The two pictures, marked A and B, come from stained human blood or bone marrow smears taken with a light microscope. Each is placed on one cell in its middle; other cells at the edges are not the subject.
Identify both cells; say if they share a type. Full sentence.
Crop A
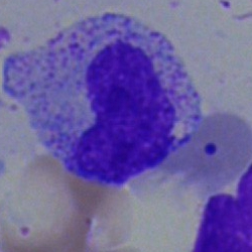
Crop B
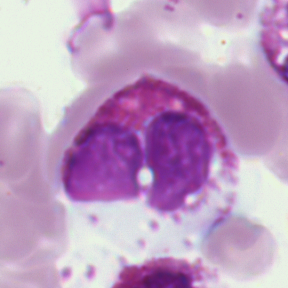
No, a metamyelocyte is in crop A, while an eosinophil is in crop B.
